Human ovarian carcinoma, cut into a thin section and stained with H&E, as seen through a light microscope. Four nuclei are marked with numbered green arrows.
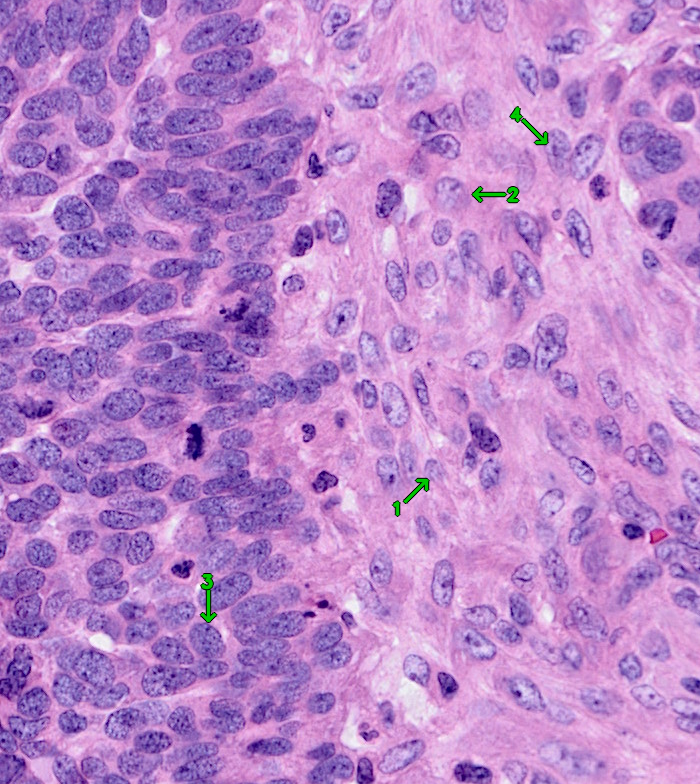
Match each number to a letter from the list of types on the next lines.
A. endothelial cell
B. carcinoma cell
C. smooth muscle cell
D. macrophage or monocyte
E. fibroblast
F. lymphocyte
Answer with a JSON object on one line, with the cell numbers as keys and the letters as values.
{"1": "E", "2": "E", "3": "B", "4": "E"}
